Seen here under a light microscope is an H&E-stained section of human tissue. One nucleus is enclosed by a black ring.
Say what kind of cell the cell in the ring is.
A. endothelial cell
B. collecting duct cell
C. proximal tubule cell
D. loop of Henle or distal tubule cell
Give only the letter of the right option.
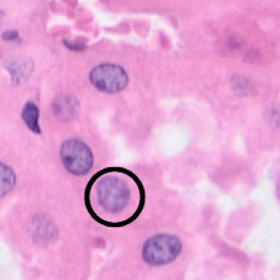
C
